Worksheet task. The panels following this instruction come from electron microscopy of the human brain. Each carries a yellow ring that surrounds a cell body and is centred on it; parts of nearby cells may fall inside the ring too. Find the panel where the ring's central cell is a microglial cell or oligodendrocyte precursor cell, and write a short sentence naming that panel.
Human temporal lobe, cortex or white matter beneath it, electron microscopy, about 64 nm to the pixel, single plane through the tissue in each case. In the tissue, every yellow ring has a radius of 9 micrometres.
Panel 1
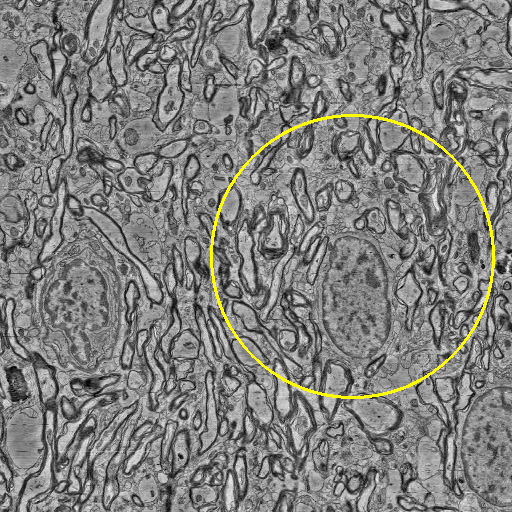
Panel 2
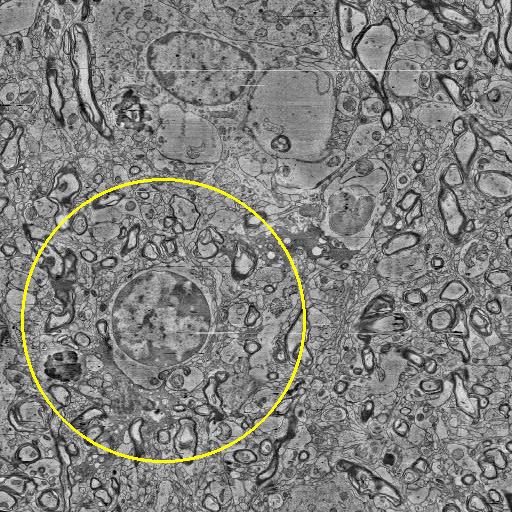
The cell sought is in Panel 2.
